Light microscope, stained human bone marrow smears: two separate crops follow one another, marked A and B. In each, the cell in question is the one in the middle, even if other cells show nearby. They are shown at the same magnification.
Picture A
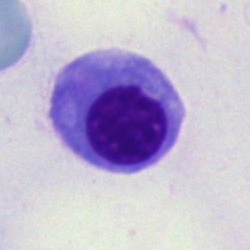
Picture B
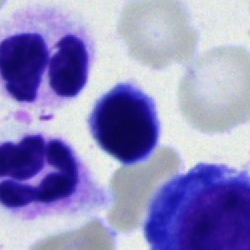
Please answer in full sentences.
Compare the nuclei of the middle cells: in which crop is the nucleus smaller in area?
The nucleus in picture B is smaller; the one in picture A has about 1.5 times its area.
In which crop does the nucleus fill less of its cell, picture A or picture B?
The nucleus fills less of the cell in picture A than in picture B.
